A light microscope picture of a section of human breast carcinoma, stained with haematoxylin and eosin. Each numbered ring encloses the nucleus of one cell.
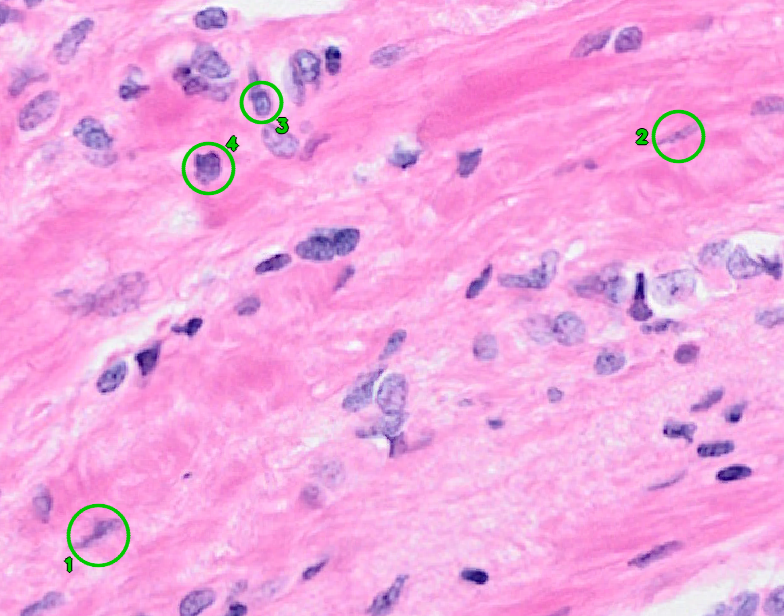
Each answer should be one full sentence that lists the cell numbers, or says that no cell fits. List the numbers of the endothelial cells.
Only cell 3 is an endothelial cell; none of the other numbered cells is.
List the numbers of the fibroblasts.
In terms of cell type, cells 1 and 2 are fibroblasts.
